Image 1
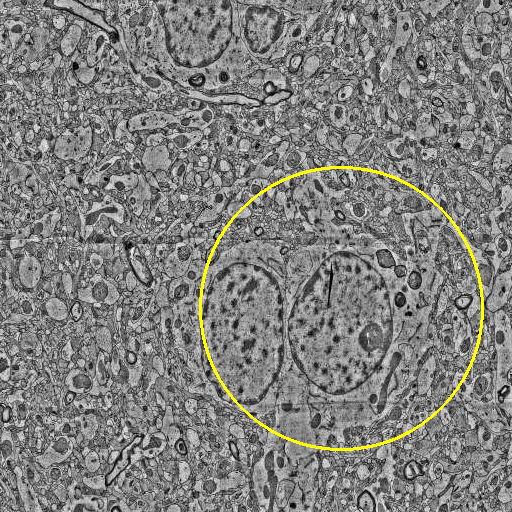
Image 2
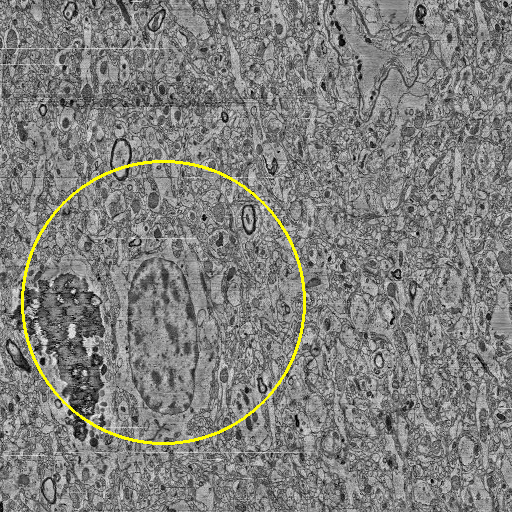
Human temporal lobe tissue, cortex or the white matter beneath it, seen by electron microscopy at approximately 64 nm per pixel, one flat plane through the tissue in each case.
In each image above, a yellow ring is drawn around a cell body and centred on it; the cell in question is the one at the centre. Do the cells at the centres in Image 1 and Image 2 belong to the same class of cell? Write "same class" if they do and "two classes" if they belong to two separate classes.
same class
